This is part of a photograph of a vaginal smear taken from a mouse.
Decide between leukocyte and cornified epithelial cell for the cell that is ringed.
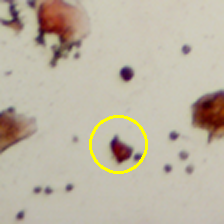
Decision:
I take the ringed cell for a cornified epithelial cell.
